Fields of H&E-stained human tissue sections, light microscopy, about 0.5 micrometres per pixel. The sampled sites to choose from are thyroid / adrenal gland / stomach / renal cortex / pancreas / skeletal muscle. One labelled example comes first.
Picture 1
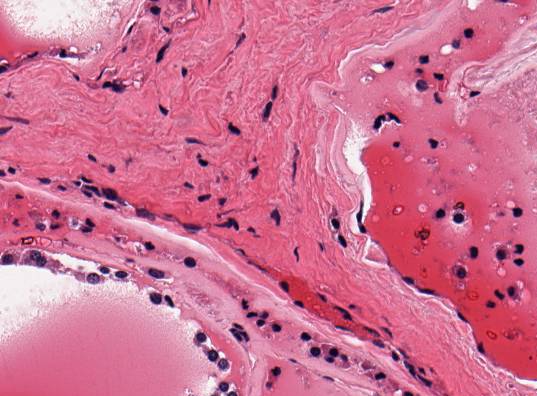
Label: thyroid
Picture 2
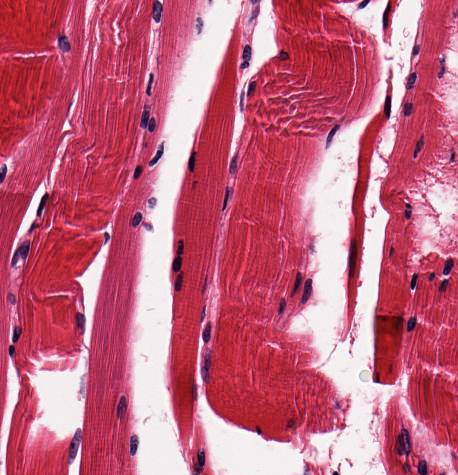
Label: skeletal muscle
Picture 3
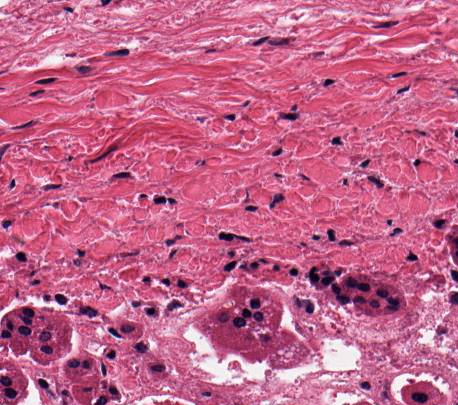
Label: adrenal gland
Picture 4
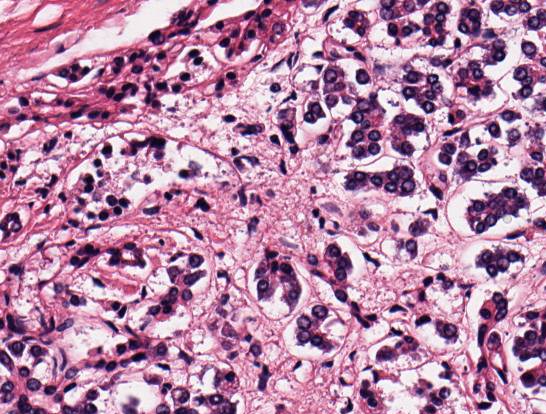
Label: pancreas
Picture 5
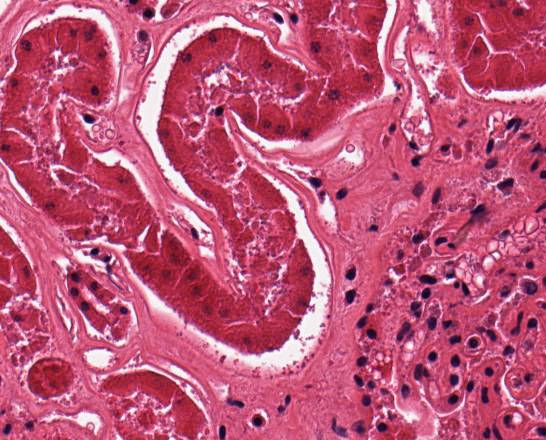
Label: renal cortex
